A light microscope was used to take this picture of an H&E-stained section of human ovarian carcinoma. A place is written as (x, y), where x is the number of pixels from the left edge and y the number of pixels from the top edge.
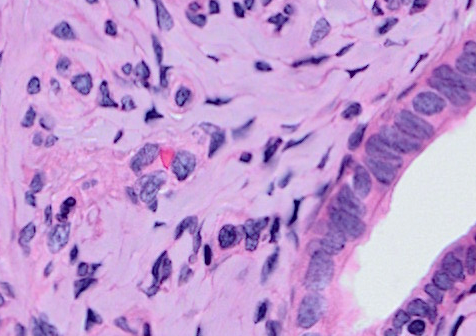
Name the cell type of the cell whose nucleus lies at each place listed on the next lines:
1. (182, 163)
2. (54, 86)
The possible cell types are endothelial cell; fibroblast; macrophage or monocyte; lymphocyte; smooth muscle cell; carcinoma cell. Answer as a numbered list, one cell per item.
1. endothelial cell
2. smooth muscle cell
